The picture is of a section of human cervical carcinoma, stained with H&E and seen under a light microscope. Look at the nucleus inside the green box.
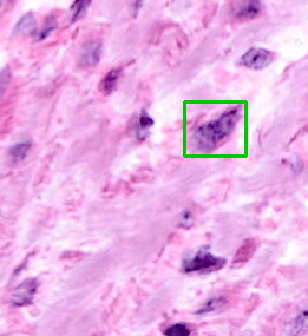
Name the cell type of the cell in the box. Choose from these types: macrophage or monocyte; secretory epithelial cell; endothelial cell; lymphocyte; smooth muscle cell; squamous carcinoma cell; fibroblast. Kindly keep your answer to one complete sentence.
The identity of the cell in the box: it is a macrophage or monocyte.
